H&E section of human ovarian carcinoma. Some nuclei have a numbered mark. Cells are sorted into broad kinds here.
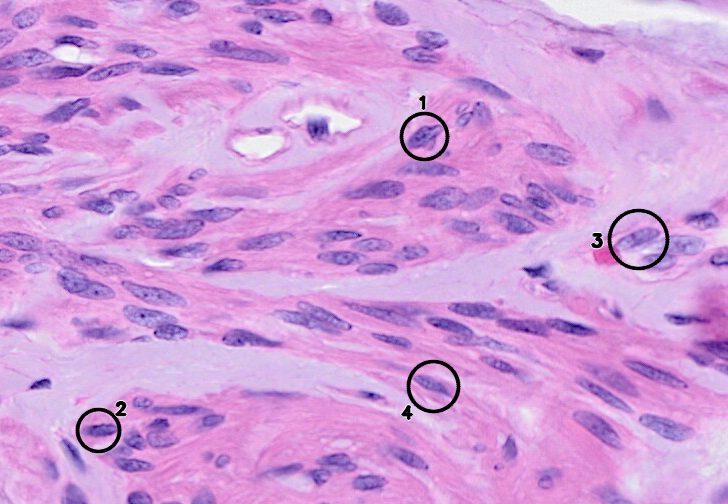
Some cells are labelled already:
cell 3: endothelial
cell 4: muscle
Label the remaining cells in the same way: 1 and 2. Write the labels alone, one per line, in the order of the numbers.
muscle
muscle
